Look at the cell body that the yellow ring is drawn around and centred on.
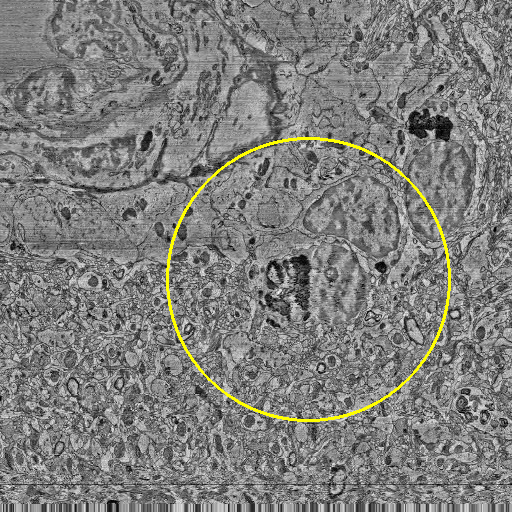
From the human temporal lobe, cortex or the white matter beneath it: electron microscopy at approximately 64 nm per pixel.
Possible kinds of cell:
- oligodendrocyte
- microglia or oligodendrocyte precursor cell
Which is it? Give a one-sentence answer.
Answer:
The centred cell body is that of an oligodendrocyte.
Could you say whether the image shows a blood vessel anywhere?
Yes.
